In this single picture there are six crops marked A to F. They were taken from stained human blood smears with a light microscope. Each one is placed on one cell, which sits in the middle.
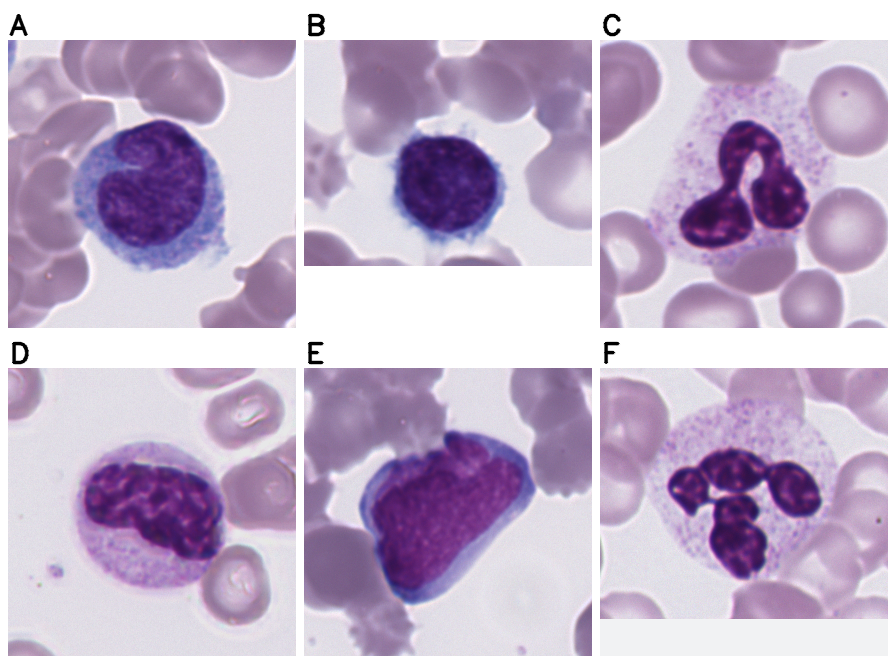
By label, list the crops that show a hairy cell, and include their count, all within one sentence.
Here, a hairy cell is shown in one crop only, namely crop B.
